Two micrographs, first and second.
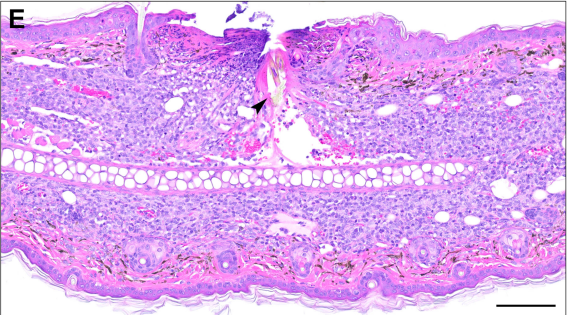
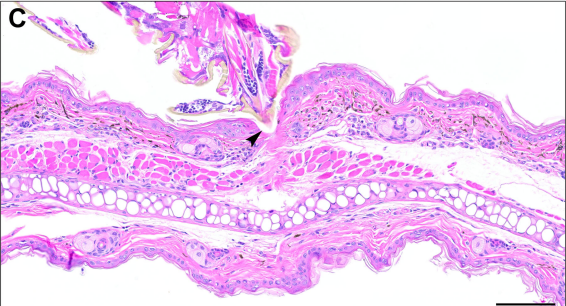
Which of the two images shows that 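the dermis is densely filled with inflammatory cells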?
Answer: The first image.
